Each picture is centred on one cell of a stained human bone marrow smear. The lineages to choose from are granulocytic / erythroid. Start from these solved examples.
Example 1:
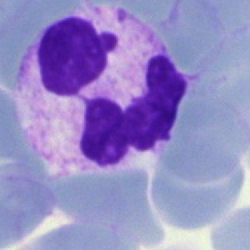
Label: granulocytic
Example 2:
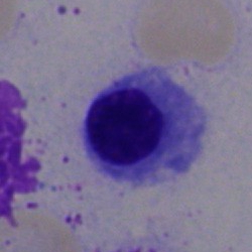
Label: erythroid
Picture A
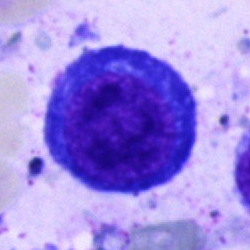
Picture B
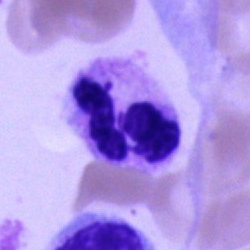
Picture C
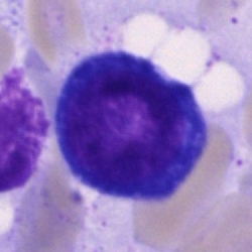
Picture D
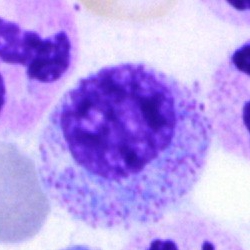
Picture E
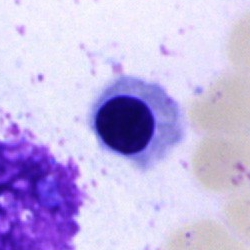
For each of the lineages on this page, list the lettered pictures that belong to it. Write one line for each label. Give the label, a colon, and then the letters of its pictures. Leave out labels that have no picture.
granulocytic: B, D
erythroid: A, C, E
